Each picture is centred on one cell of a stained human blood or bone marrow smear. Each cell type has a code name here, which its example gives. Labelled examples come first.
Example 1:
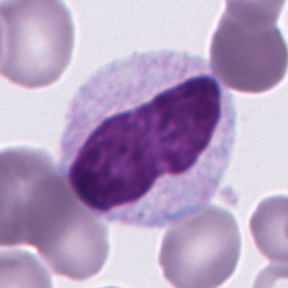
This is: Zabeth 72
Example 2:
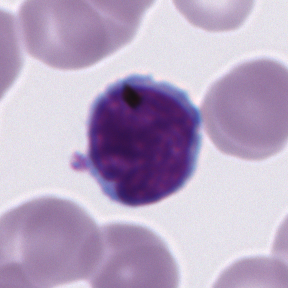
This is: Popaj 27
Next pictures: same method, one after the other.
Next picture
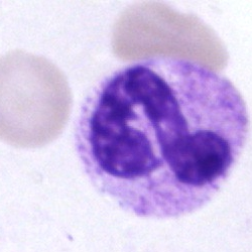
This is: Zabeth 72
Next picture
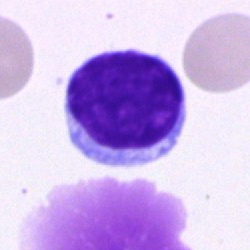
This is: Popaj 27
